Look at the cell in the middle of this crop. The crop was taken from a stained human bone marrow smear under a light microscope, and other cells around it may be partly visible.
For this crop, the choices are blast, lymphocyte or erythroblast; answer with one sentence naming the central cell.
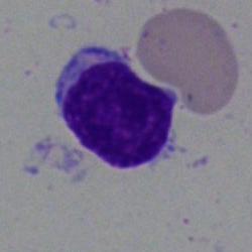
The single cell at the center of the crop is a lymphocyte.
